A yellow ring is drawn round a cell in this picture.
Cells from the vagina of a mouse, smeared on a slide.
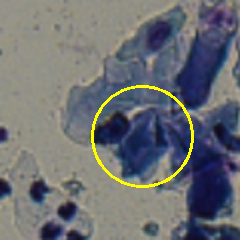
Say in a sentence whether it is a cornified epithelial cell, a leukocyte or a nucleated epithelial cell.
The cell in the ring is a cornified epithelial cell.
